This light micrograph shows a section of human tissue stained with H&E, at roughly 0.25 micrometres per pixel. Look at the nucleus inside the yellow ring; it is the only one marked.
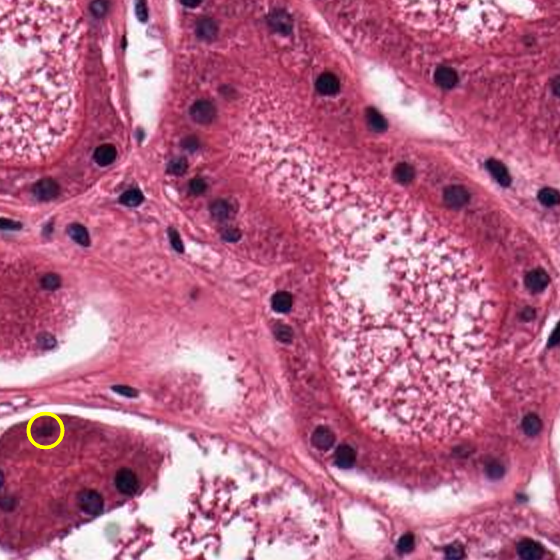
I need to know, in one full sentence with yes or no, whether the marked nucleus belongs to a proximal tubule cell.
Yes, the marked nucleus is that of a proximal tubule cell.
